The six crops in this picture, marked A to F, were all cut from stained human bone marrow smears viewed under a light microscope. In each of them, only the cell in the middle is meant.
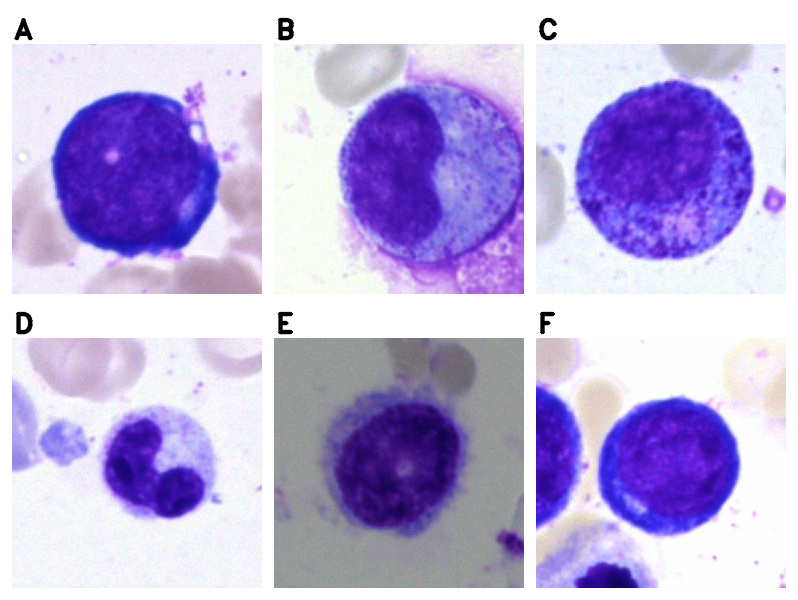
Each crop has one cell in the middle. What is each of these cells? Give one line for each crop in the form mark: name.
A: proerythroblast
B: metamyelocyte
C: promyelocyte
D: band neutrophil
E: hairy cell
F: proerythroblast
